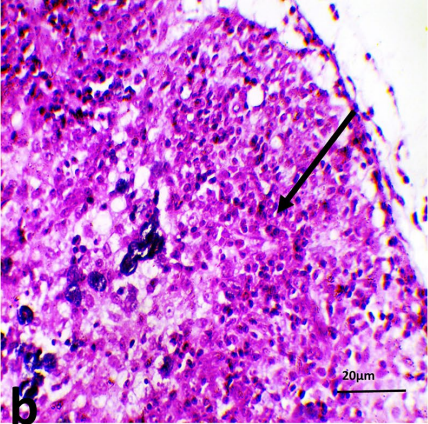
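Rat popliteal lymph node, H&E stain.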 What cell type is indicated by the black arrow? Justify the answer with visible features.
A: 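The arrow points to a cluster of small cells with dark round nuclei. The surrounding tissue is looser with pale, vacuolated areas. The answer: lymphocytes.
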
